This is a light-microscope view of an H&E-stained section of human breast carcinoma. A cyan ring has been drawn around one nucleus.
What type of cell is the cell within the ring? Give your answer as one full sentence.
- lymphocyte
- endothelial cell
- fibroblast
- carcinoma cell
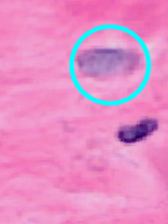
Cytologically, the cell within the ring is to be regarded as a fibroblast.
